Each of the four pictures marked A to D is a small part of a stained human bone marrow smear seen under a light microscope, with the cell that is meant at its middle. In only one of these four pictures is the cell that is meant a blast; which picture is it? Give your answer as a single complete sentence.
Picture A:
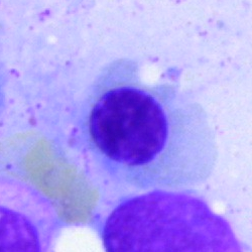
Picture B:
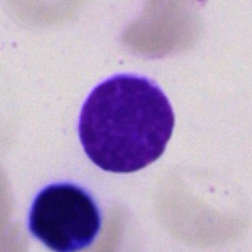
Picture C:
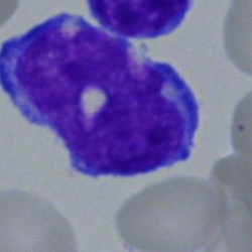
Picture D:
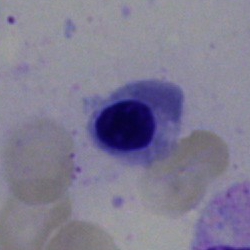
The picture with the blast is C.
